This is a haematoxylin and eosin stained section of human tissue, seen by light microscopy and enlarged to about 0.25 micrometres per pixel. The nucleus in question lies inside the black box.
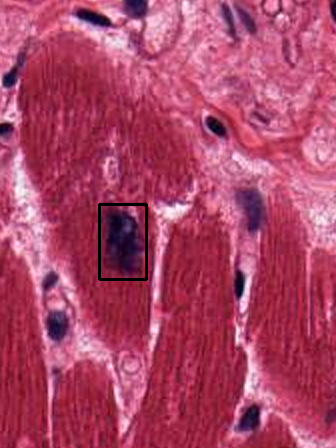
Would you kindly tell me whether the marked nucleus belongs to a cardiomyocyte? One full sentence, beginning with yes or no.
Yes, a cardiomyocyte is the cell to which the marked nucleus belongs.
